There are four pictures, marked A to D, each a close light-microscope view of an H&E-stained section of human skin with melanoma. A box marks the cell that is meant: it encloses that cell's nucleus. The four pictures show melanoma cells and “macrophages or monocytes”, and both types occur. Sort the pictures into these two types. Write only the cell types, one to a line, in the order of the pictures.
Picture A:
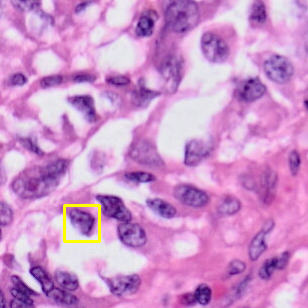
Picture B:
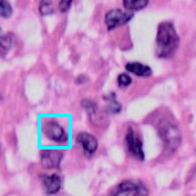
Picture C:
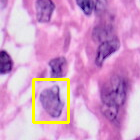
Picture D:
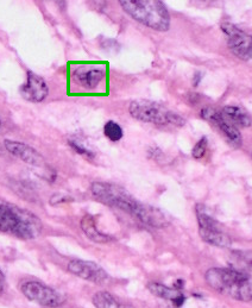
melanoma cell
macrophage or monocyte
macrophage or monocyte
macrophage or monocyte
